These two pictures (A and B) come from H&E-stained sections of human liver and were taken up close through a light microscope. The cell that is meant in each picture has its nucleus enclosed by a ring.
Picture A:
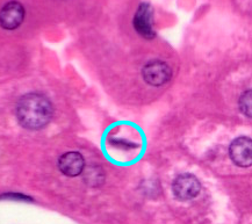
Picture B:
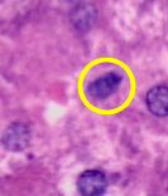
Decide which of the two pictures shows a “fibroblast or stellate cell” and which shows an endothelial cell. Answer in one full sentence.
Picture B shows a “fibroblast or stellate cell”, while picture A shows an endothelial cell.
